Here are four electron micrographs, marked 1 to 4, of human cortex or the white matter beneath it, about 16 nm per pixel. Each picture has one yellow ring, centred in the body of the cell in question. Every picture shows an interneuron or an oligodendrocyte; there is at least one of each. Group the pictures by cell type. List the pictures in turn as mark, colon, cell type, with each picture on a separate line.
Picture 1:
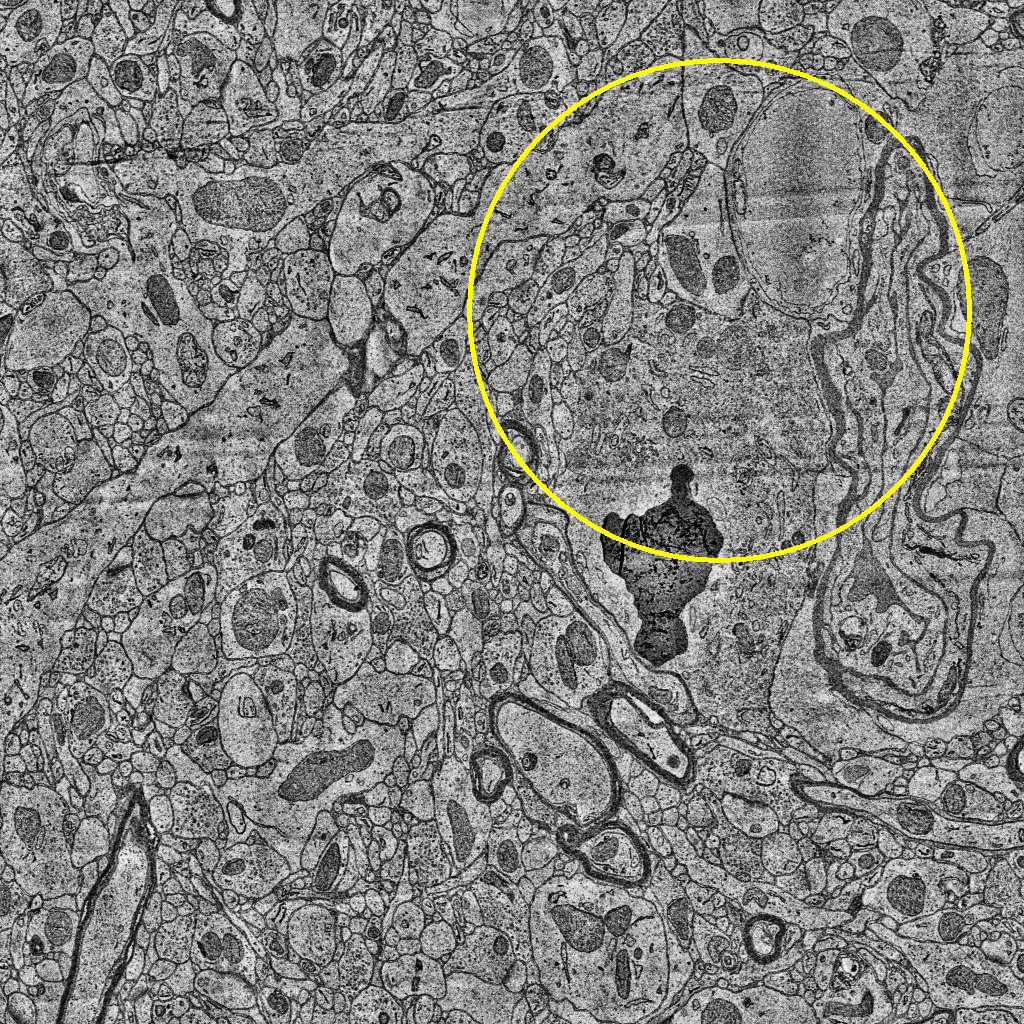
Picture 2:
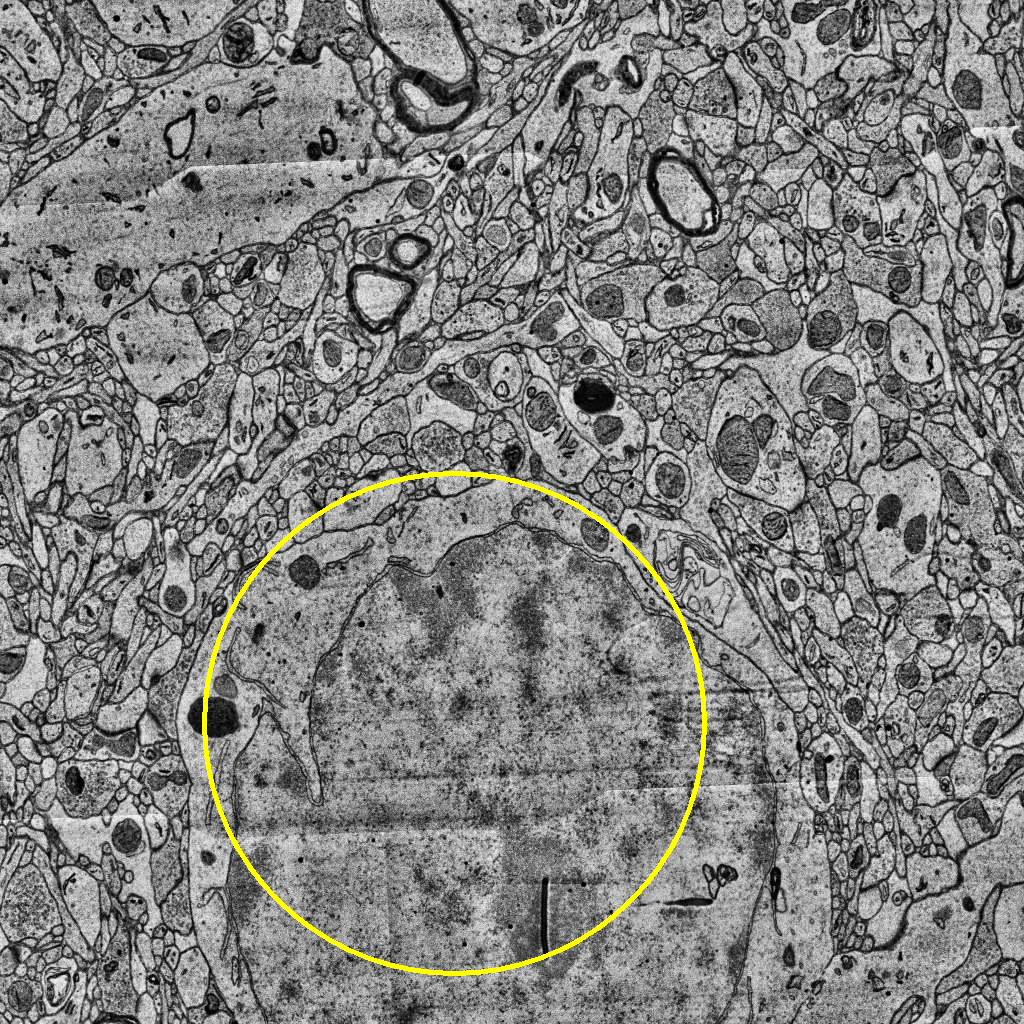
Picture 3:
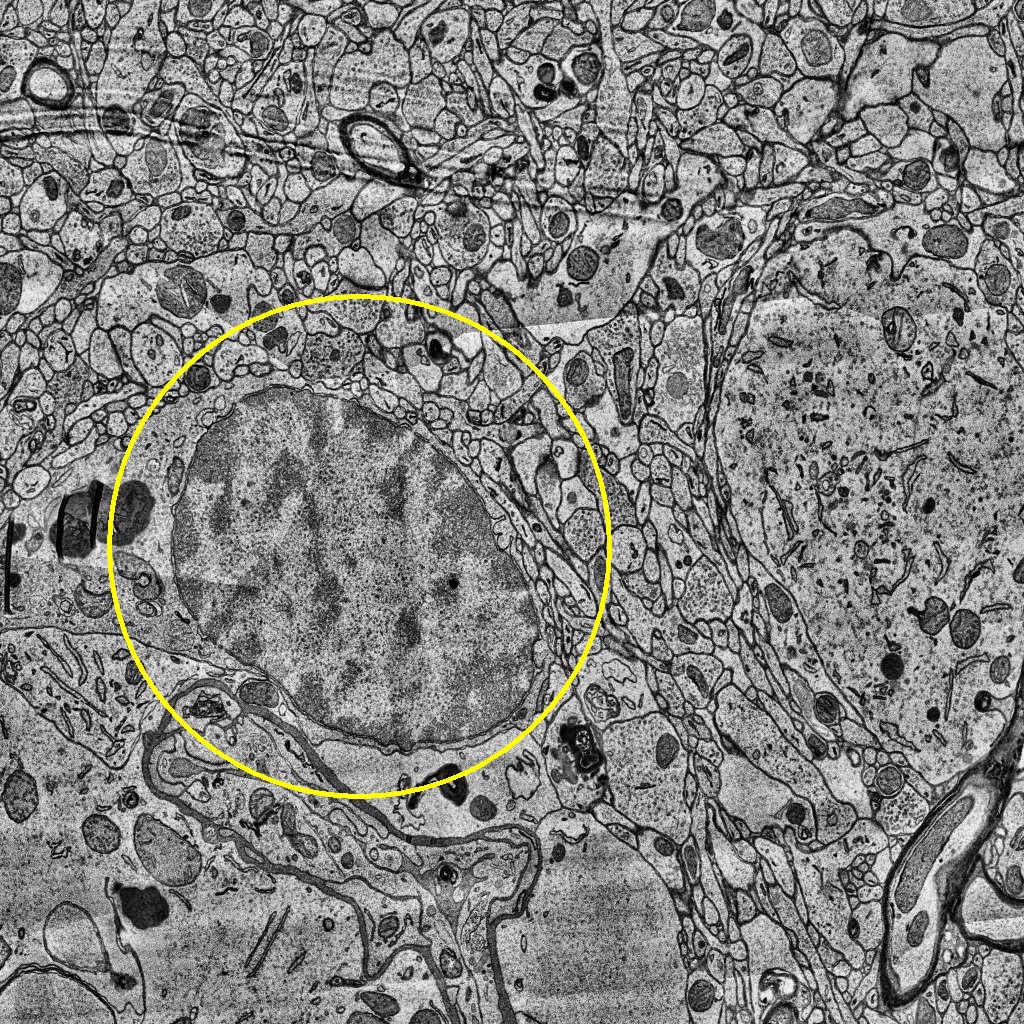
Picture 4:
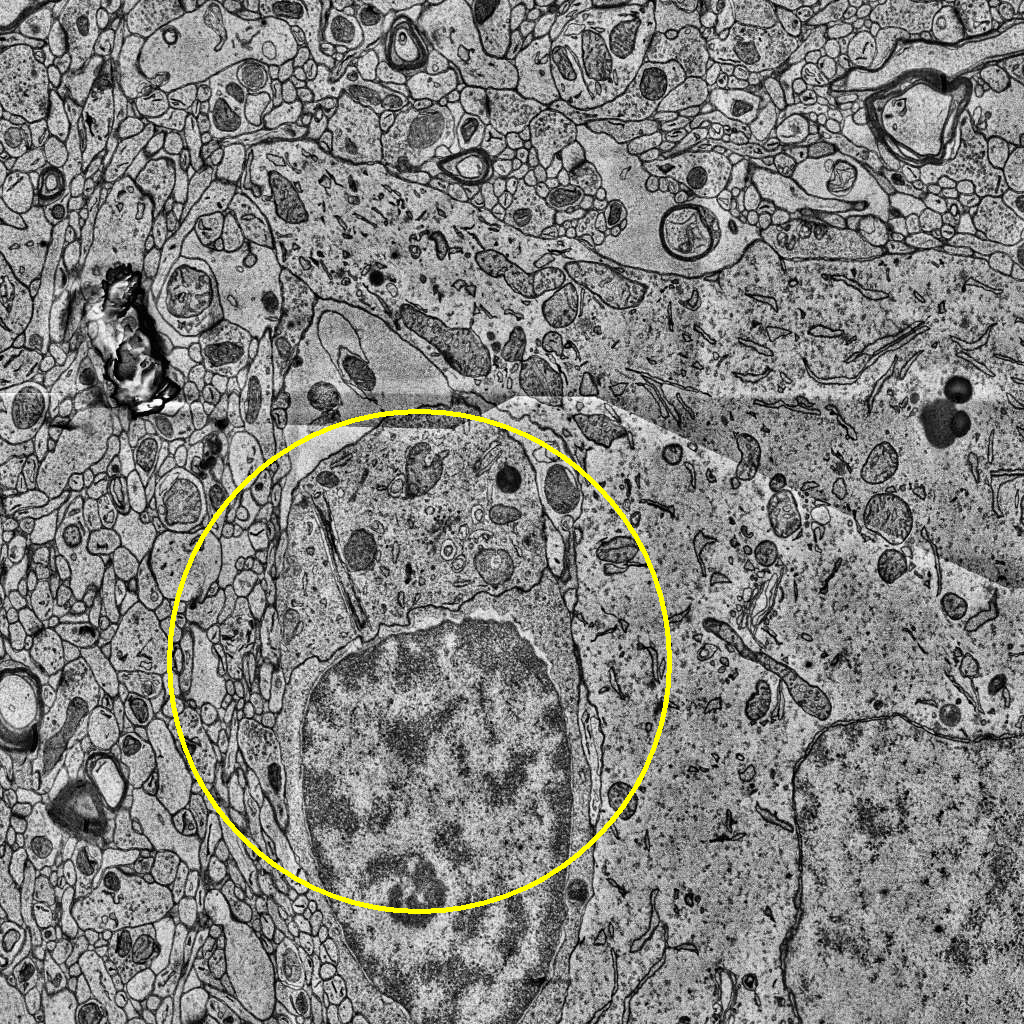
1: oligodendrocyte
2: interneuron
3: oligodendrocyte
4: oligodendrocyte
